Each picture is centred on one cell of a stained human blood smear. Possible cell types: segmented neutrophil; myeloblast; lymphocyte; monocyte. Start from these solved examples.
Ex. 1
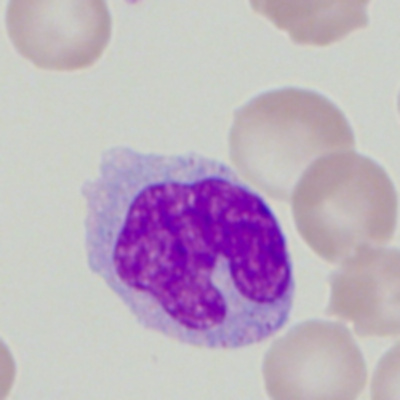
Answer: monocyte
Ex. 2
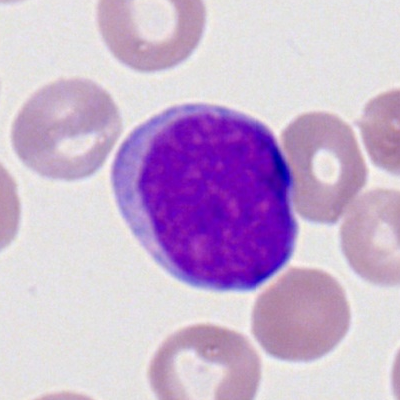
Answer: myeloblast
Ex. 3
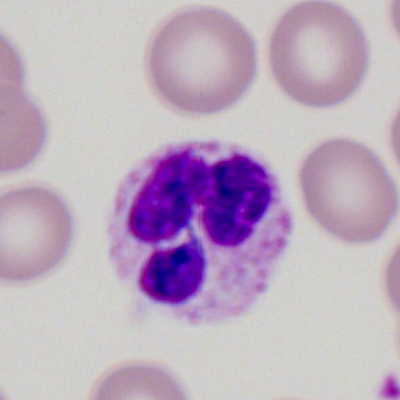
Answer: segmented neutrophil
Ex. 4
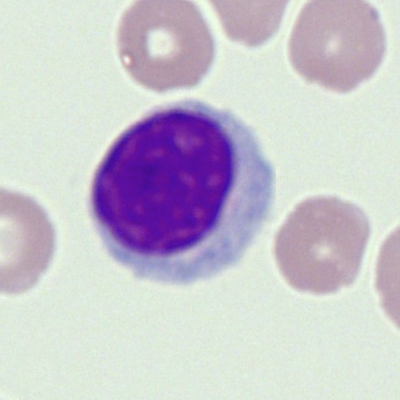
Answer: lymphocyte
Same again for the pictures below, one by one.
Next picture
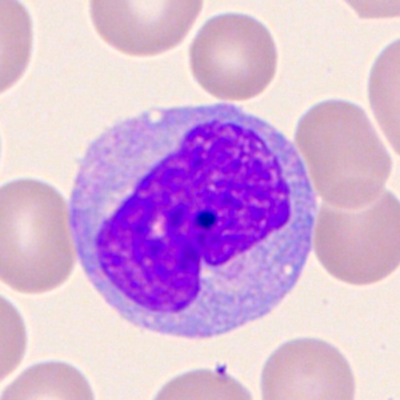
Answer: monocyte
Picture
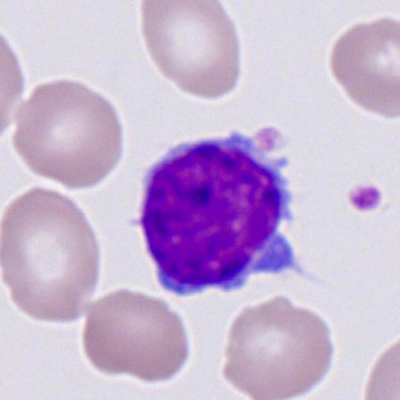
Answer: lymphocyte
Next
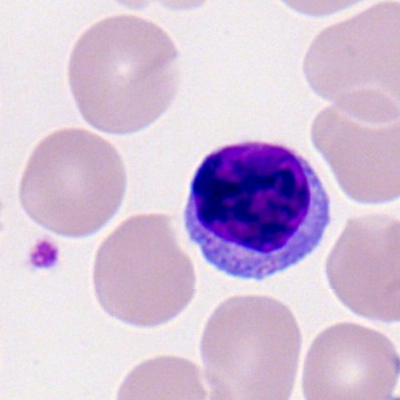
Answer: lymphocyte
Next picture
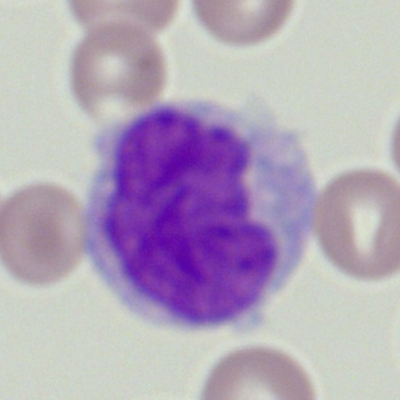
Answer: monocyte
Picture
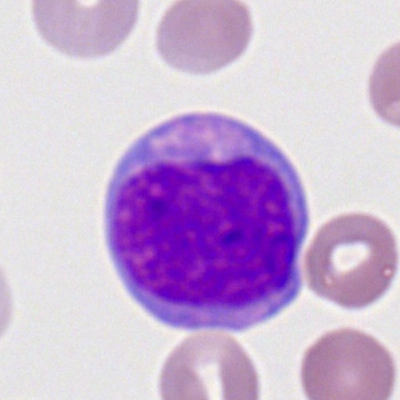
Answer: myeloblast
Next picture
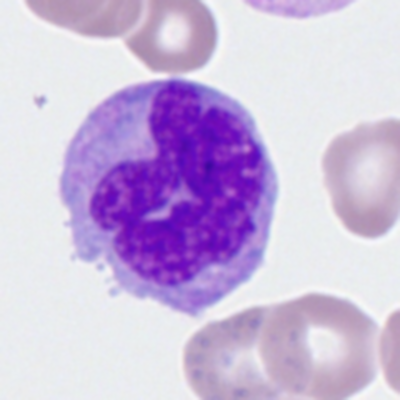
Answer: monocyte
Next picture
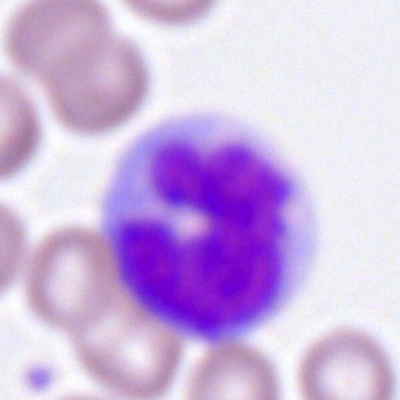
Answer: monocyte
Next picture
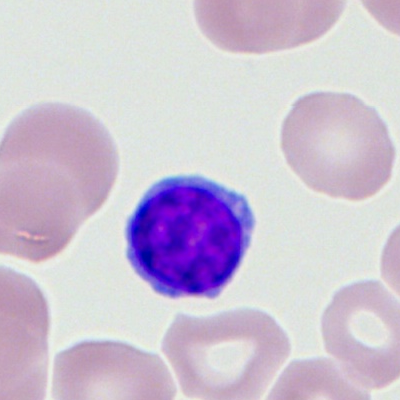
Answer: lymphocyte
